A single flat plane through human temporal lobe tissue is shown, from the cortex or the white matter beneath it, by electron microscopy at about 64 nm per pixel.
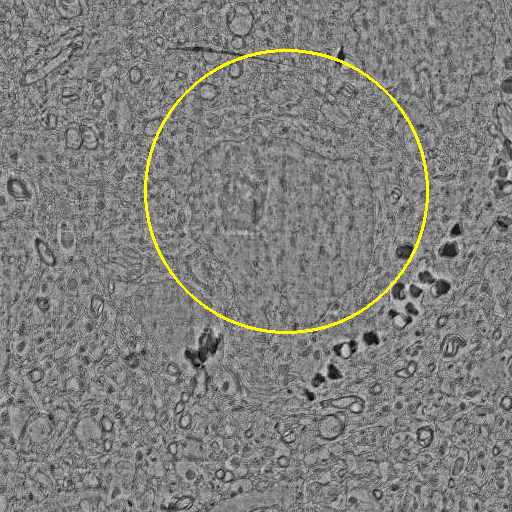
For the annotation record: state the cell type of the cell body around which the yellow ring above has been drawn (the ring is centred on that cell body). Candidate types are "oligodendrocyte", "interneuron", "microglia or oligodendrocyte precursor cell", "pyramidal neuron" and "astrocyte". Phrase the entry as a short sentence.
The ringed cell is a pyramidal neuron.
